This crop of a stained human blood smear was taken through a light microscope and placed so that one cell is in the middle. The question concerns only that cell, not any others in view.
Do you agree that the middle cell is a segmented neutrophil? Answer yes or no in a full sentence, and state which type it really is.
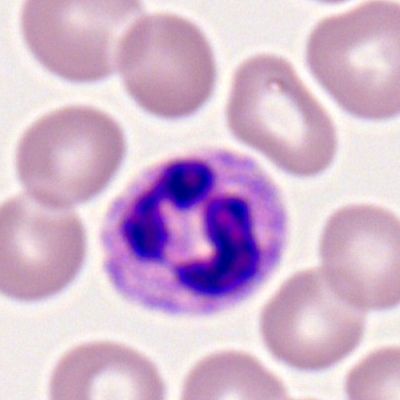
Yes, this crop has a segmented neutrophil at its centre.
